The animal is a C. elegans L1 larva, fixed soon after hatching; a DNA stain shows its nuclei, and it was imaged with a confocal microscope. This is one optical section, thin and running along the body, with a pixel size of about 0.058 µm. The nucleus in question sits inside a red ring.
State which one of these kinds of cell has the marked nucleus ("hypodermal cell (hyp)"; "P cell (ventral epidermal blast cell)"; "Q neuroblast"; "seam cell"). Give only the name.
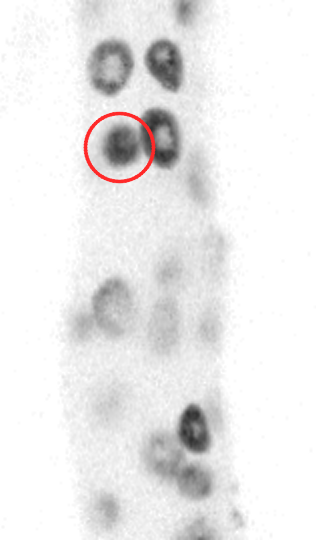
Q neuroblast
